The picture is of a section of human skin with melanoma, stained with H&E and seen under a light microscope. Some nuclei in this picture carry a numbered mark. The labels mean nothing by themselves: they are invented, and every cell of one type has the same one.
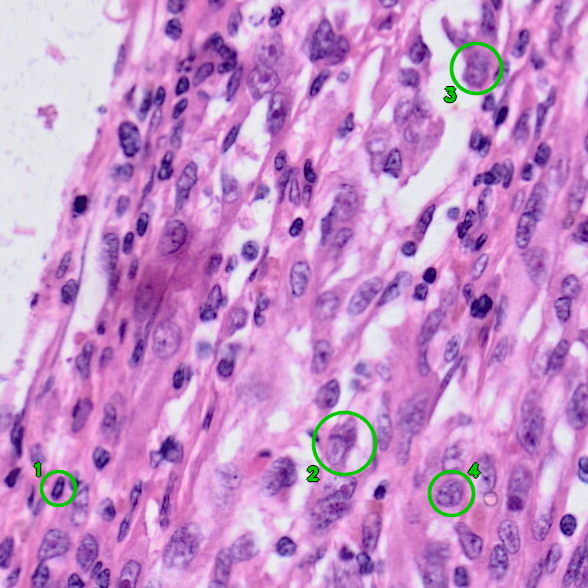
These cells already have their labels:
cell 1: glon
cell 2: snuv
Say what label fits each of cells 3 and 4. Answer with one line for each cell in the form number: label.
3: snuv
4: snuv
